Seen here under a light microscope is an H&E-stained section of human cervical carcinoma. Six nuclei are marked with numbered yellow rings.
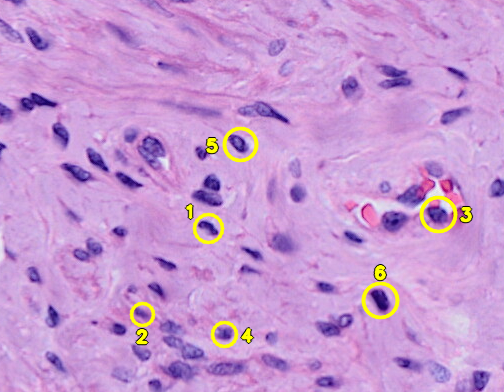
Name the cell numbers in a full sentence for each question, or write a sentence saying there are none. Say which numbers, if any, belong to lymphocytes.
The cell labelled 6 is a lymphocyte, while the remaining numbered cells are not.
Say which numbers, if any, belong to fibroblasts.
The cells marked by the numbers 1 and 5 are fibroblasts.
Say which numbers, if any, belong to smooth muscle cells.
Cells 2 and 4 in the section are typed as smooth muscle cells.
